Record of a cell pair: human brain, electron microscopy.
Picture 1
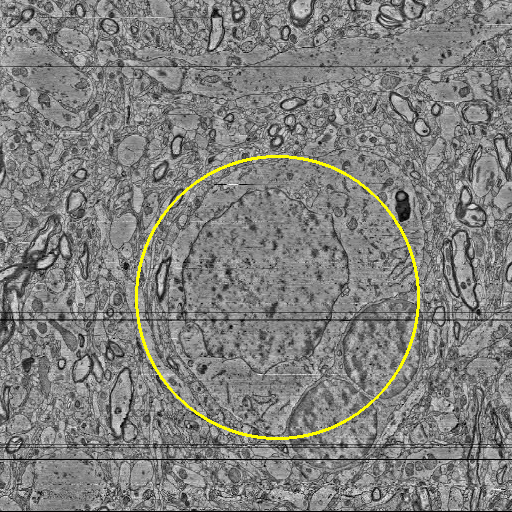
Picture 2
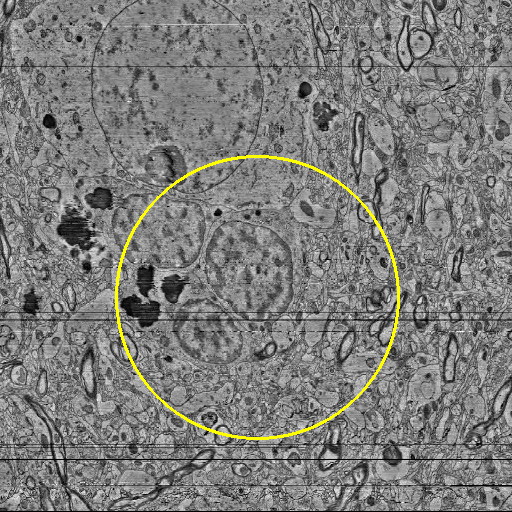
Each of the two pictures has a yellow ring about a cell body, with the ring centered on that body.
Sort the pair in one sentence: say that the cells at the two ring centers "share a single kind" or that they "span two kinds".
The cells centered in the rings of Pictures 1 and 2 span two kinds.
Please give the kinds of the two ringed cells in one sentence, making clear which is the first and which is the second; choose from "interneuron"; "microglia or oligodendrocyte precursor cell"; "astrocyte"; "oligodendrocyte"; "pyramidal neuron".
In the second picture the ringed cell is an oligodendrocyte; in the first it is a pyramidal neuron.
